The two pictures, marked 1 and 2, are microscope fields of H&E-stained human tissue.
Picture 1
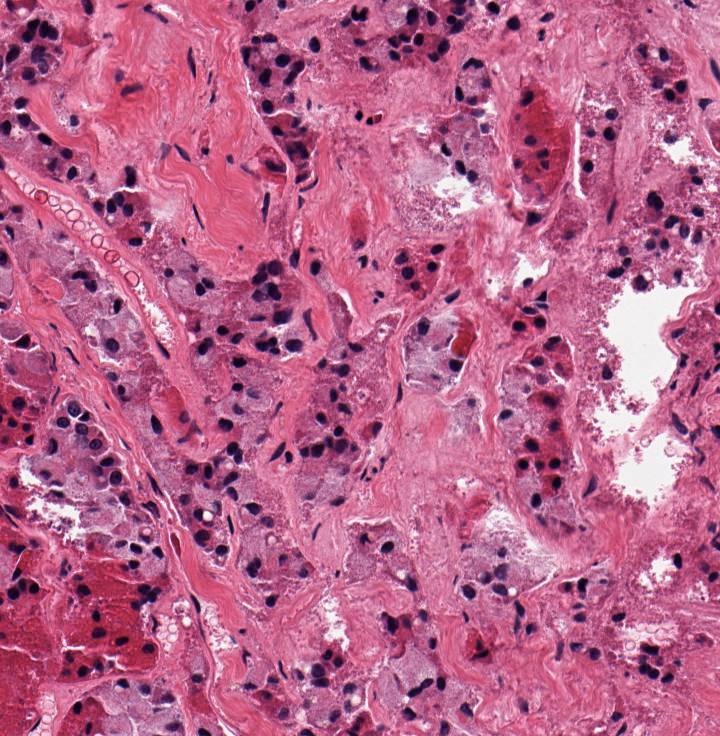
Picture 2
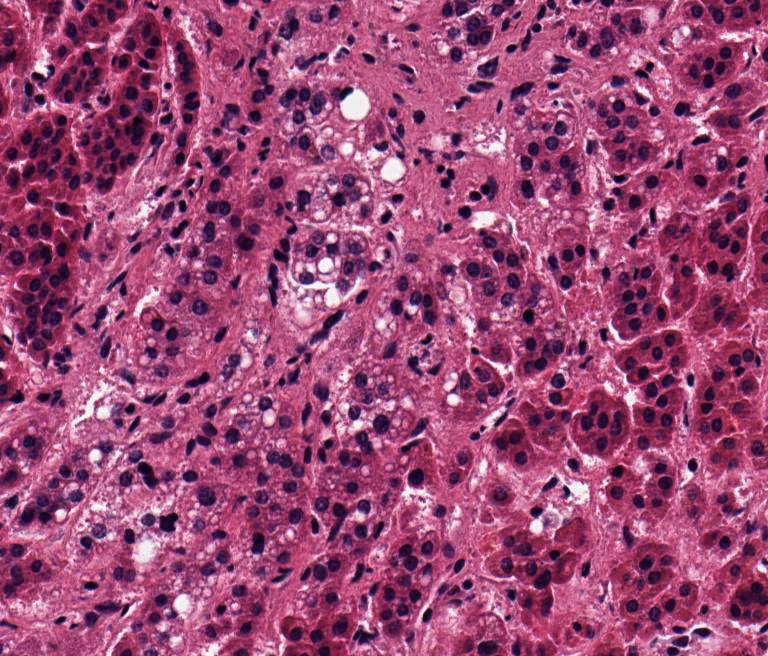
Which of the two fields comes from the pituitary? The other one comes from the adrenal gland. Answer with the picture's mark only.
1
